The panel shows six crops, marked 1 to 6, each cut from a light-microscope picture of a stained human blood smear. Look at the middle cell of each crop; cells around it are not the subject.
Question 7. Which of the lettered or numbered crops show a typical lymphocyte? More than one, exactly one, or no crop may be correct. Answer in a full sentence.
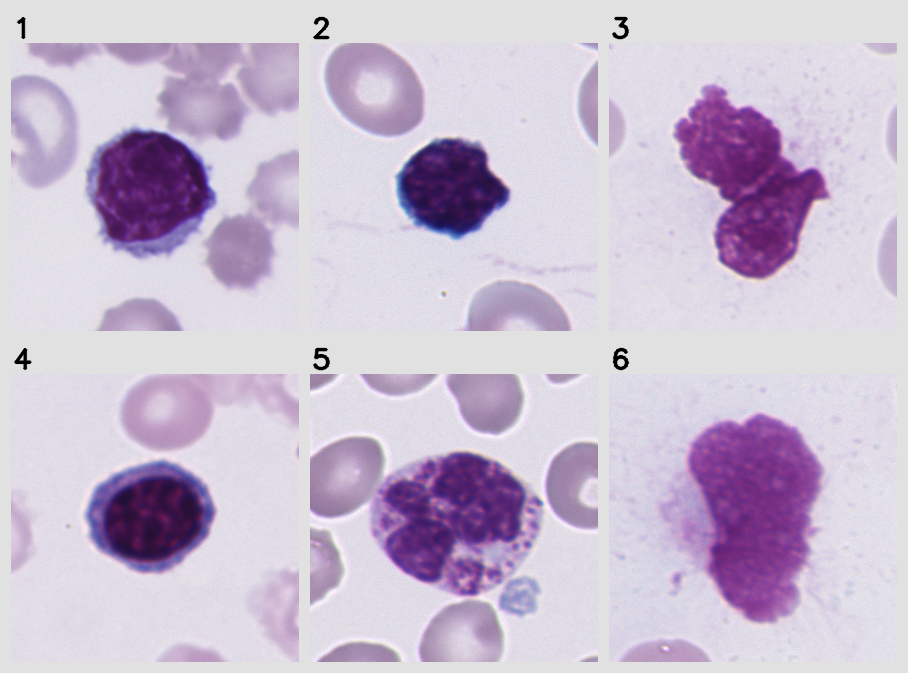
The centred cells of crops 1, 2 and 4 are typical lymphocytes.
